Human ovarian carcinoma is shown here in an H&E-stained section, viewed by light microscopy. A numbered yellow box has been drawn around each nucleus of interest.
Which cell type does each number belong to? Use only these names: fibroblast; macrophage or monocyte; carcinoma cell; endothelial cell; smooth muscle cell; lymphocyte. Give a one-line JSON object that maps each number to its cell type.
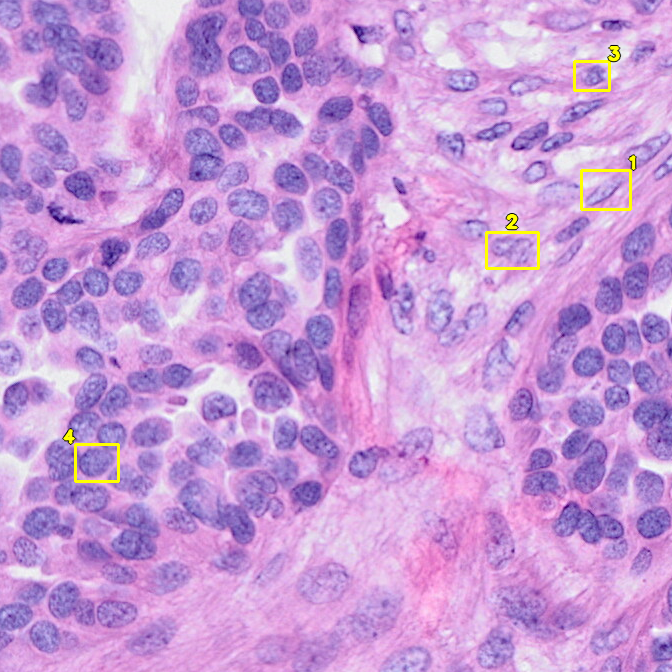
{"1": "fibroblast", "2": "fibroblast", "3": "fibroblast", "4": "carcinoma cell"}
